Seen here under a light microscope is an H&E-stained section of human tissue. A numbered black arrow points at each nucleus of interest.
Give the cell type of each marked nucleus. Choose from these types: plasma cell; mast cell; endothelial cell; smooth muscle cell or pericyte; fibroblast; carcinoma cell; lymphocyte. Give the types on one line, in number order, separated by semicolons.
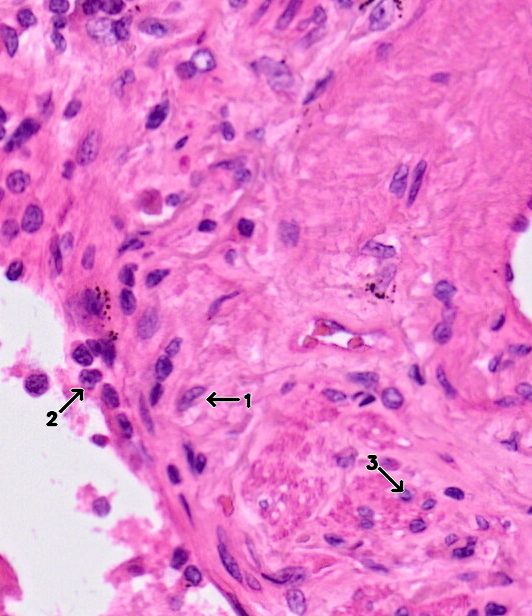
fibroblast; lymphocyte; smooth muscle cell or pericyte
